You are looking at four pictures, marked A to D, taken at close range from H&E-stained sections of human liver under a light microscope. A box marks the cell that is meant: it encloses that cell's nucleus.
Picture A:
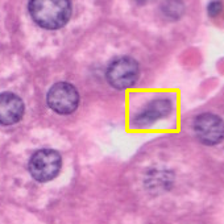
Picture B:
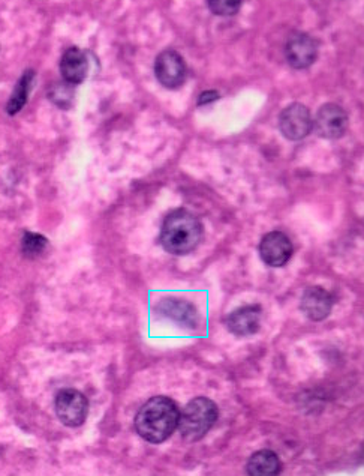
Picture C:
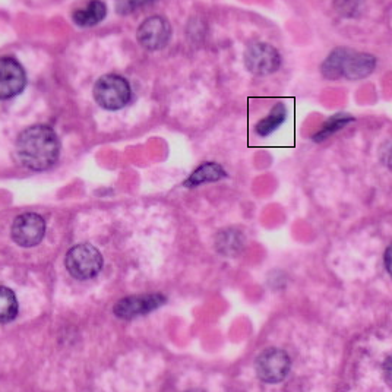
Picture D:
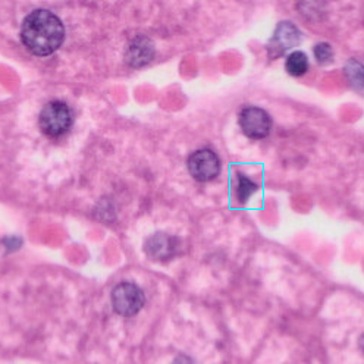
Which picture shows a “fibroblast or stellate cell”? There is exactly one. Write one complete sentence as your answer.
The “fibroblast or stellate cell” is the one in picture D.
